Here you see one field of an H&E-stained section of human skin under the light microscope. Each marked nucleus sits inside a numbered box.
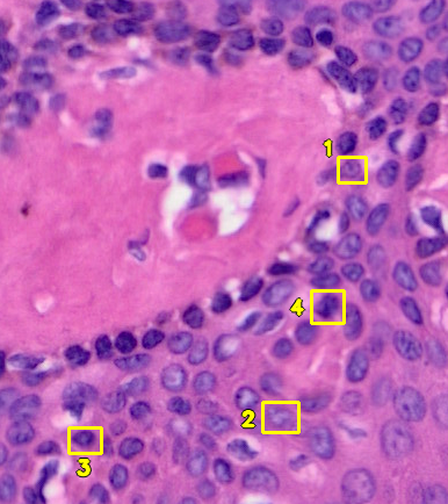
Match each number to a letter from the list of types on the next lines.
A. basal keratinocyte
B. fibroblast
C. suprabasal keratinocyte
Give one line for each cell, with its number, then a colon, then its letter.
1: A
2: C
3: A
4: A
